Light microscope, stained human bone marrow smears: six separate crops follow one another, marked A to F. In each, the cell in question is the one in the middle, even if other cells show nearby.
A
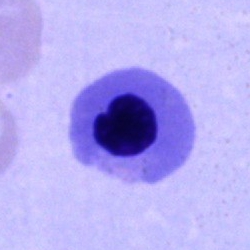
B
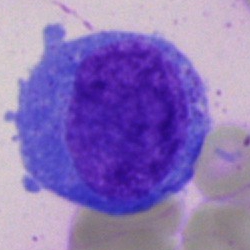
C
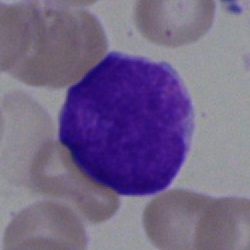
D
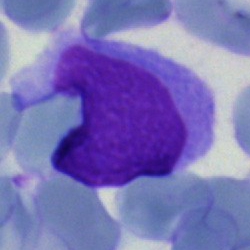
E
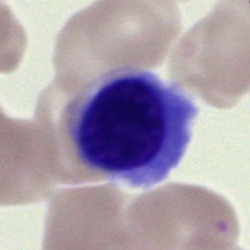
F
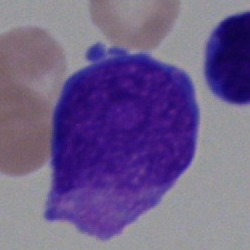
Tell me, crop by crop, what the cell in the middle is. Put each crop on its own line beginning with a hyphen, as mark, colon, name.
- A: erythroblast
- B: blast
- C: blast
- D: blast
- E: erythroblast
- F: blast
